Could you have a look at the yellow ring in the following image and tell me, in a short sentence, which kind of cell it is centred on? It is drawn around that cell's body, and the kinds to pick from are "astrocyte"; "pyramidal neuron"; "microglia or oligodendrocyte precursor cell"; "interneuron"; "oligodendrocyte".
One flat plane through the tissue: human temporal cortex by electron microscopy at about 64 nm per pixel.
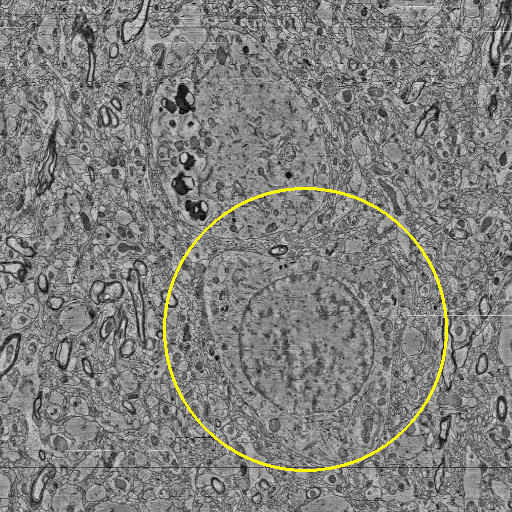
The ring is centred on the body of an interneuron.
